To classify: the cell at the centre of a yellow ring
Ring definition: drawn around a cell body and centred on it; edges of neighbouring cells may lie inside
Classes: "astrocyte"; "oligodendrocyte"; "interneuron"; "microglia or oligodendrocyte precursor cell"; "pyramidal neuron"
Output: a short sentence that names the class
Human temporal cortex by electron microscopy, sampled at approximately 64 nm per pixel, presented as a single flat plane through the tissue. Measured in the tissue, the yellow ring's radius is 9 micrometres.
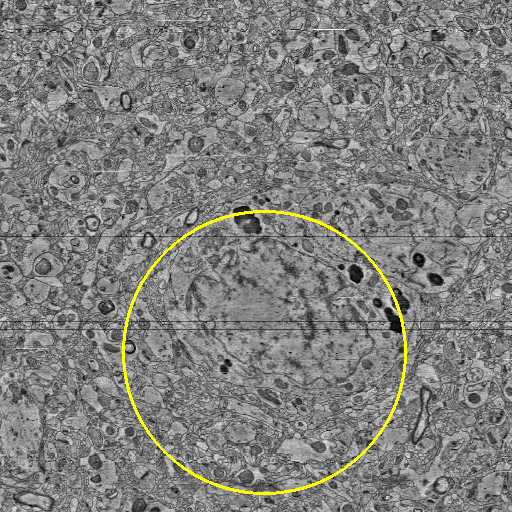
The ringed cell is an interneuron.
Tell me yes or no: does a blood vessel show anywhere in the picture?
No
